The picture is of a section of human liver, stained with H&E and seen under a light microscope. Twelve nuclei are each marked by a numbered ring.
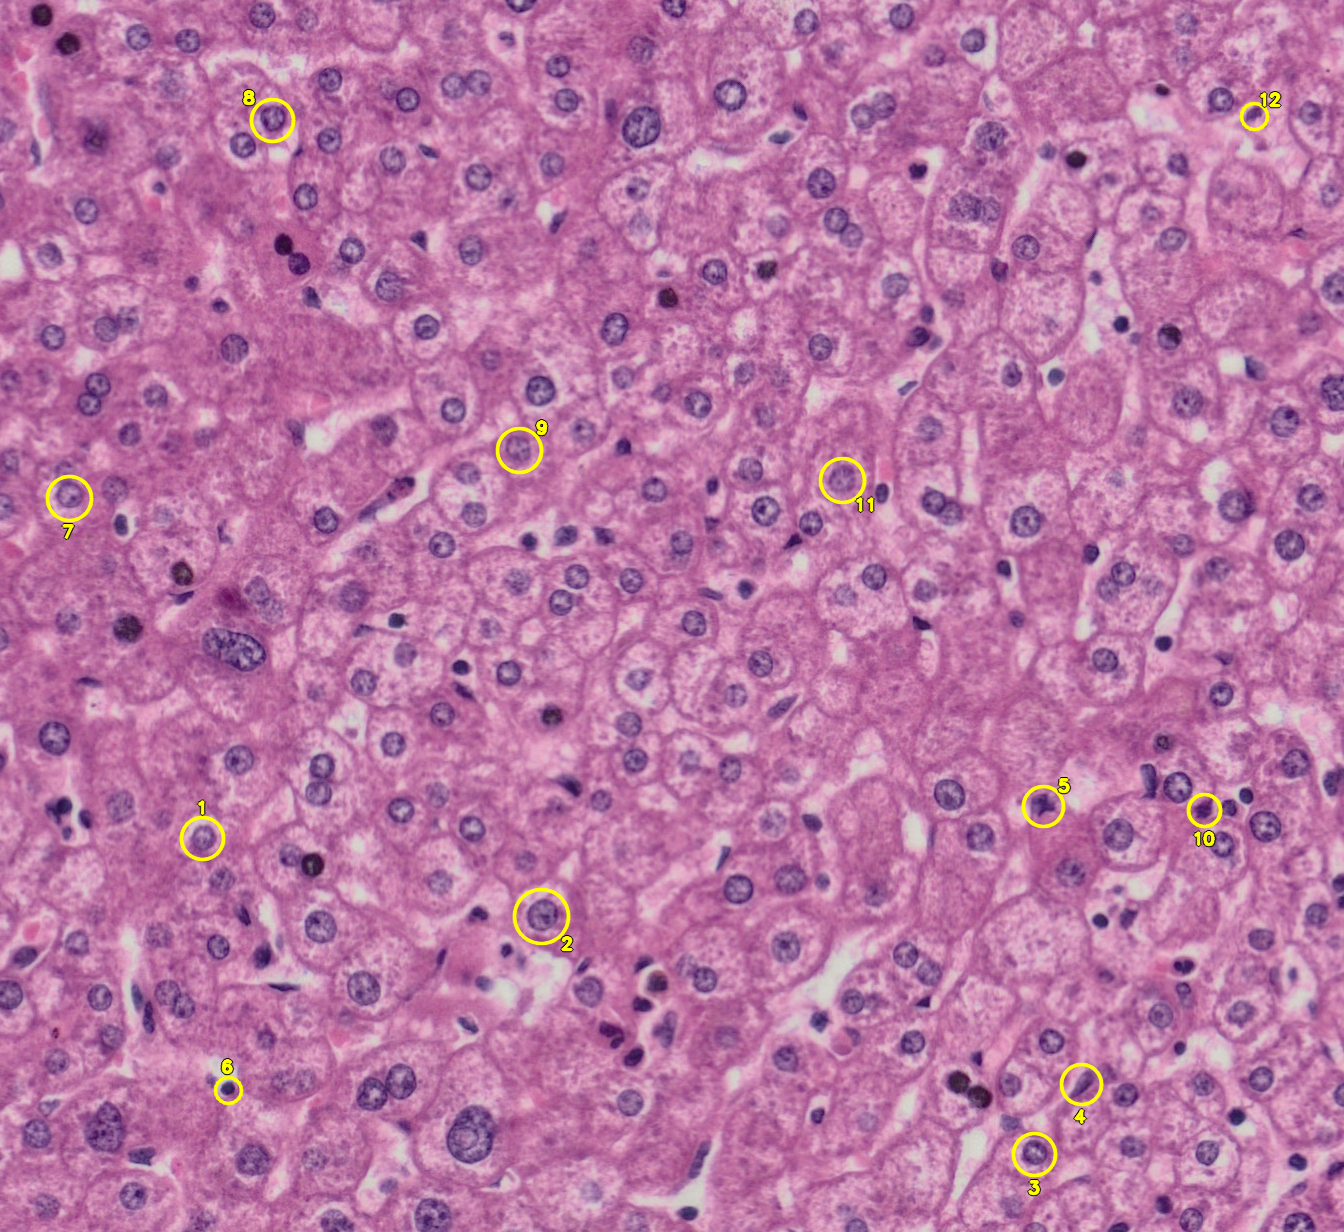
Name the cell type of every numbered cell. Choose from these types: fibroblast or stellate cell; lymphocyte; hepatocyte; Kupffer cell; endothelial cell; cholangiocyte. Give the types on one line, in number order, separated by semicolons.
hepatocyte; hepatocyte; hepatocyte; Kupffer cell; fibroblast or stellate cell; lymphocyte; hepatocyte; hepatocyte; hepatocyte; fibroblast or stellate cell; hepatocyte; Kupffer cell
